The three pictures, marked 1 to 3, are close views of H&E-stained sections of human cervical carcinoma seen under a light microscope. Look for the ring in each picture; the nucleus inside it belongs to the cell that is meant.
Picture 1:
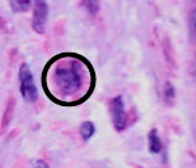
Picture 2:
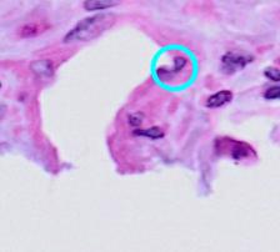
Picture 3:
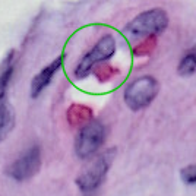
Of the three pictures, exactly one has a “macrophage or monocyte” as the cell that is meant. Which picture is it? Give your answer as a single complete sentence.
Picture 1 is the one that shows the “macrophage or monocyte”.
